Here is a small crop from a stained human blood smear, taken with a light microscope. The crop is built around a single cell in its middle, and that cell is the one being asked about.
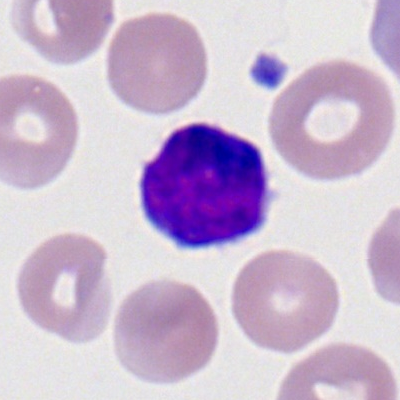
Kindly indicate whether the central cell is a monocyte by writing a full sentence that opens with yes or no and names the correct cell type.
No, the centrally placed cell is a lymphocyte, not a monocyte.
